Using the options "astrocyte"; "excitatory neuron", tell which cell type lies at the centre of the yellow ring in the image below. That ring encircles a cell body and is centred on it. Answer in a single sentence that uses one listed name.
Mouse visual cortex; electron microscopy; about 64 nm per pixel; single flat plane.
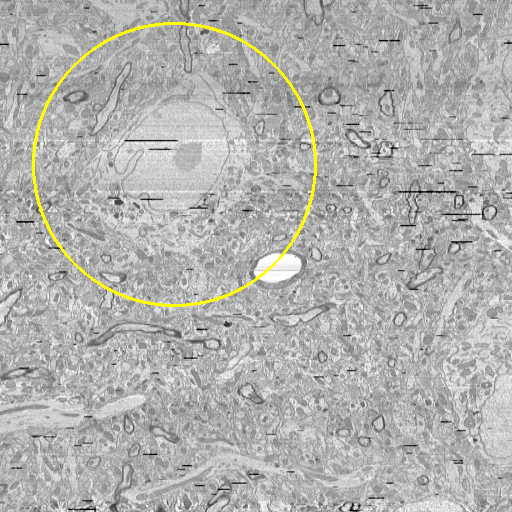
At the centre of the yellow ring lies the body of an excitatory neuron.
